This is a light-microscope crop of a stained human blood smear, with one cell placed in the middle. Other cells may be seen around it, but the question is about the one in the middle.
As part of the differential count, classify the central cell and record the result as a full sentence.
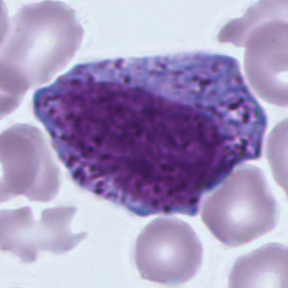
The center cell of this crop is a promyelocyte.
